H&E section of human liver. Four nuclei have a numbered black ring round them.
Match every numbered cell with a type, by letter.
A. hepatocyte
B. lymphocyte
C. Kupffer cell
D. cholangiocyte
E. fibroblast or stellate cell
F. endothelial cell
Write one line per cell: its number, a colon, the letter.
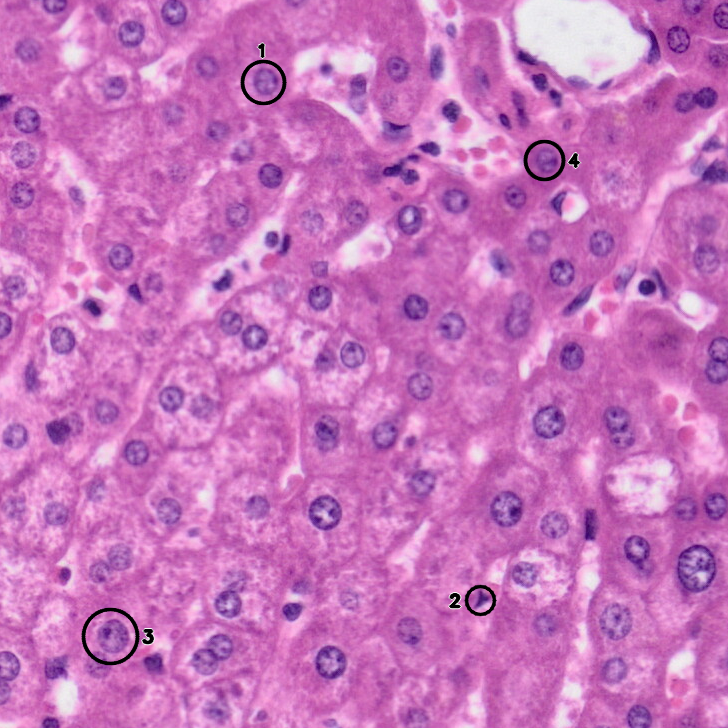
1: A
2: F
3: A
4: A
